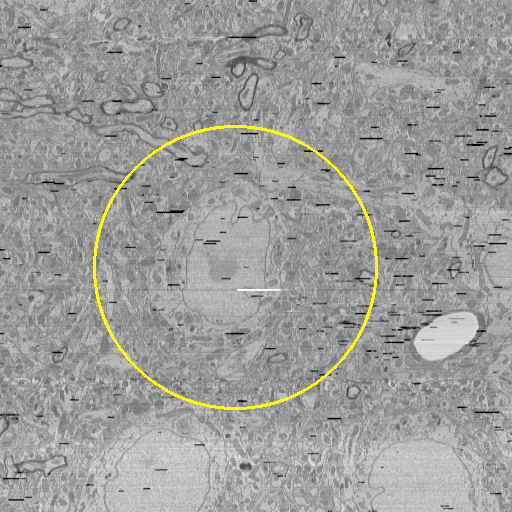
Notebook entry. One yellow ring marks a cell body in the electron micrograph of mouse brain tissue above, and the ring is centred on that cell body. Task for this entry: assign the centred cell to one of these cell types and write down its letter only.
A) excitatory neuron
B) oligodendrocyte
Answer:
A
